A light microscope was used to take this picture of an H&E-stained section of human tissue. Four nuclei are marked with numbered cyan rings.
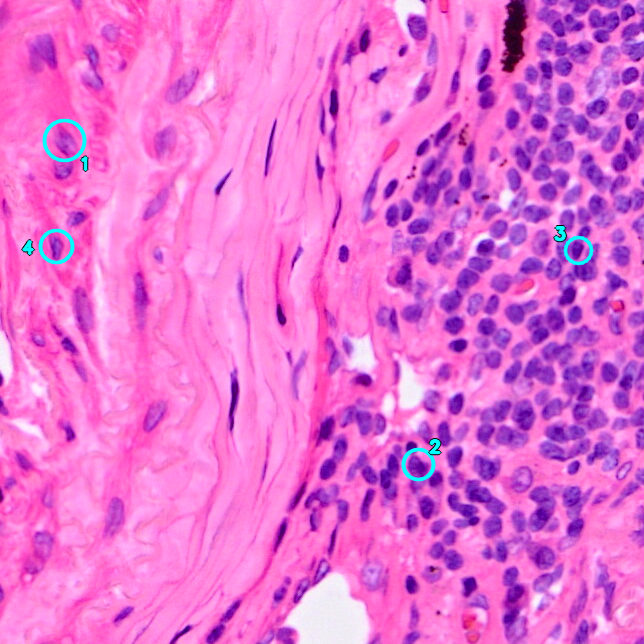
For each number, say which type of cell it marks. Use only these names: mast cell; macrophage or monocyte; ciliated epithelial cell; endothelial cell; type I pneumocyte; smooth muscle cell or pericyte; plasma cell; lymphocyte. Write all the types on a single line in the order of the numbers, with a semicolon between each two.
smooth muscle cell or pericyte; lymphocyte; lymphocyte; smooth muscle cell or pericyte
